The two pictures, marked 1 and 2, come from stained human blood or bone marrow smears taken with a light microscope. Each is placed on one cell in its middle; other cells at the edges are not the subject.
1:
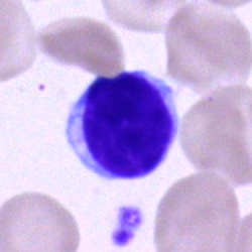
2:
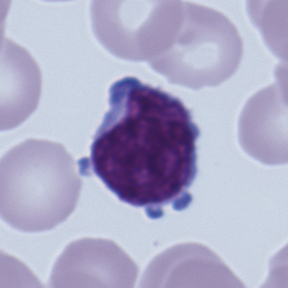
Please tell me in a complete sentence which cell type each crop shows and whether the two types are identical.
Yes, both crops show lymphocytes in their central position.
